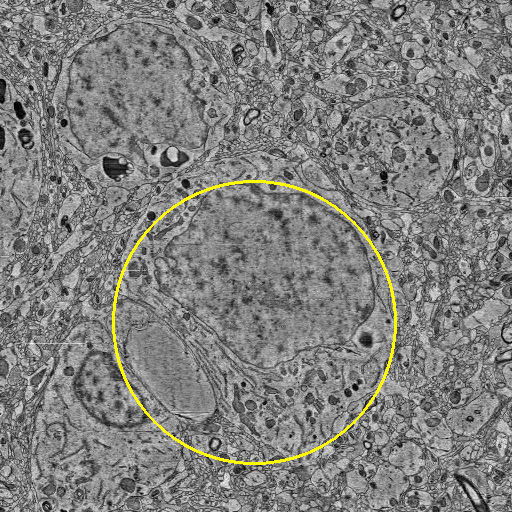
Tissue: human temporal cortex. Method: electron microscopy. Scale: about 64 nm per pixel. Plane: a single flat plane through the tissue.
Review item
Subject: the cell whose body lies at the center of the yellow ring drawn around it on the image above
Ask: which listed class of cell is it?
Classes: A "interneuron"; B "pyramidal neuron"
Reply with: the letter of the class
A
